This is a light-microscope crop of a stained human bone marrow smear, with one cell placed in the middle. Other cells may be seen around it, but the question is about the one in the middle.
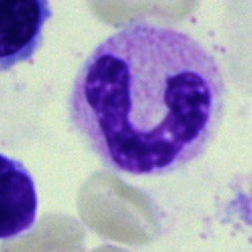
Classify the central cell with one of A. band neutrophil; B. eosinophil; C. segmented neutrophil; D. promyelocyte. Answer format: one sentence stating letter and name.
Identification: the cell in the middle is a band neutrophil, matching option A.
